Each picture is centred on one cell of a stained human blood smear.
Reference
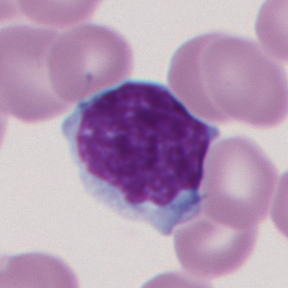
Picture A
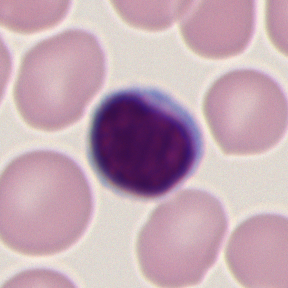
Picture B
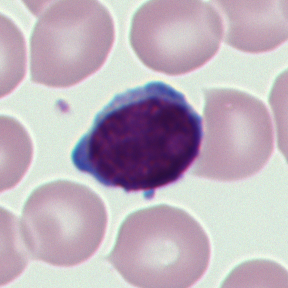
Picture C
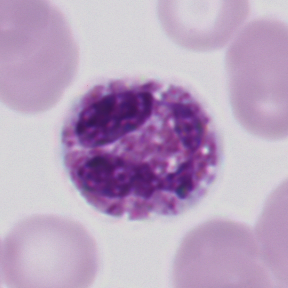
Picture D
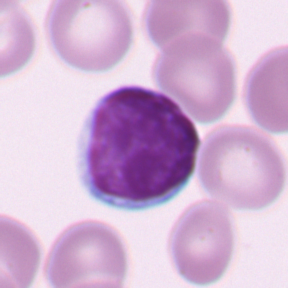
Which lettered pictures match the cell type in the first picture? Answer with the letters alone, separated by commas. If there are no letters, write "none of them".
A, B, D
